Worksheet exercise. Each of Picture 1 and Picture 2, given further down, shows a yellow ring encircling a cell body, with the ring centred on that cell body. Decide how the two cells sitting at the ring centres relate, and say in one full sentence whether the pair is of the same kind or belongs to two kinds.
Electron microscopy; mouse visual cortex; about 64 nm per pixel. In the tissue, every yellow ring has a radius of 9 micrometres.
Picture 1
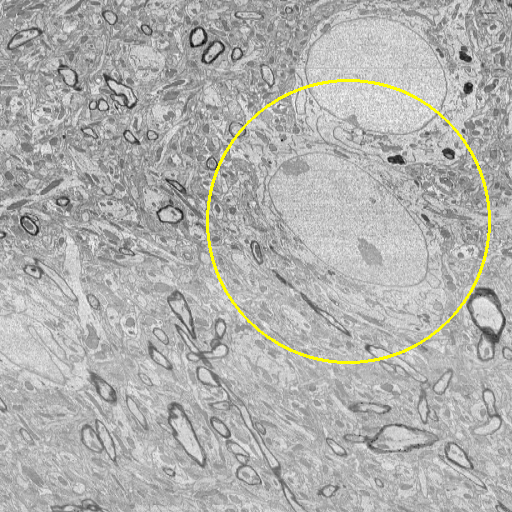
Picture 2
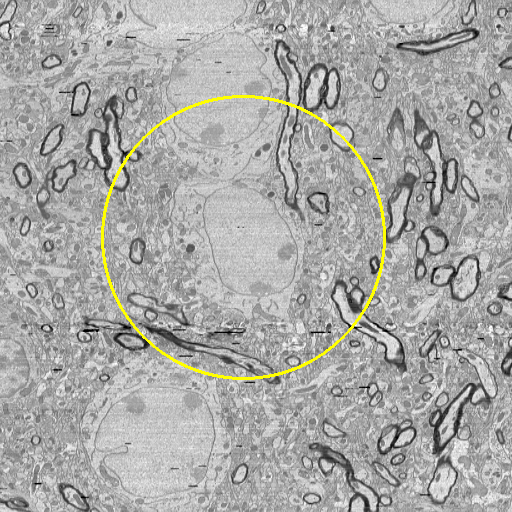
The cells at the ring centres in Picture 1 and Picture 2 are of the same kind.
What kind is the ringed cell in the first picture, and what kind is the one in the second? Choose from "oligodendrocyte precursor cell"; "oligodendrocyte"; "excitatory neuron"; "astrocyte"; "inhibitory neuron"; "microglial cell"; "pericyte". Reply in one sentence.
In the first picture and in the second, the ring is centred on an excitatory neuron.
